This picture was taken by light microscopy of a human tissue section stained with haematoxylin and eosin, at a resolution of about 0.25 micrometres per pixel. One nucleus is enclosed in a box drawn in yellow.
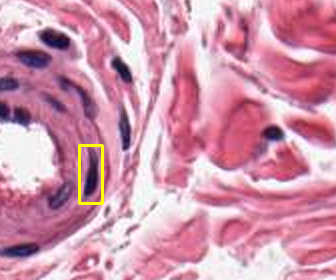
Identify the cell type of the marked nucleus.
smooth muscle cell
